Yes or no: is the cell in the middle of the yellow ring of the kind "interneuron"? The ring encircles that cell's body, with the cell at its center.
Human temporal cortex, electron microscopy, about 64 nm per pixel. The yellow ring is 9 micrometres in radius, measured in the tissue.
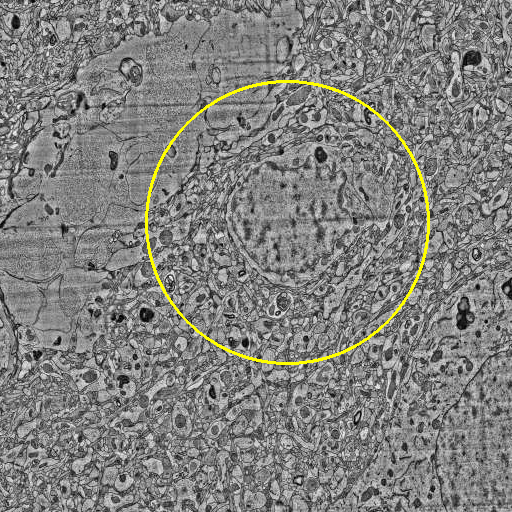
yes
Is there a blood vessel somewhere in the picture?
Yes.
